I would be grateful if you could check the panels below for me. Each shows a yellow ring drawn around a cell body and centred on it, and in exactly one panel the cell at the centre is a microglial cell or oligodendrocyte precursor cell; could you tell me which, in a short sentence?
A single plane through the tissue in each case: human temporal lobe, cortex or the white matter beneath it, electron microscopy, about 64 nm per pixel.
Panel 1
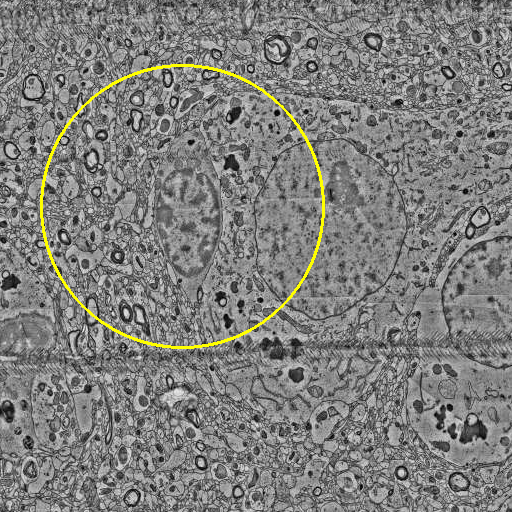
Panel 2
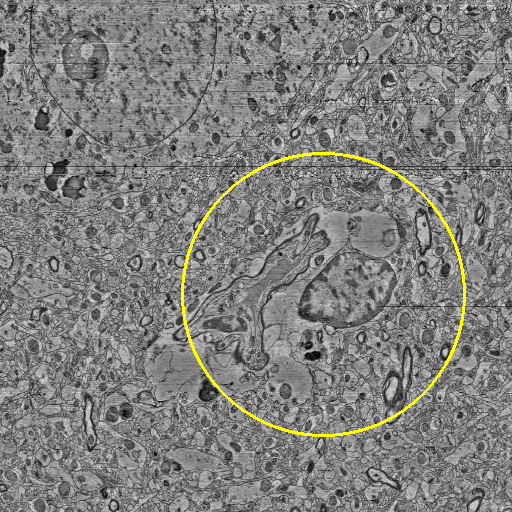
The ring in Panel 2 is centred on it.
